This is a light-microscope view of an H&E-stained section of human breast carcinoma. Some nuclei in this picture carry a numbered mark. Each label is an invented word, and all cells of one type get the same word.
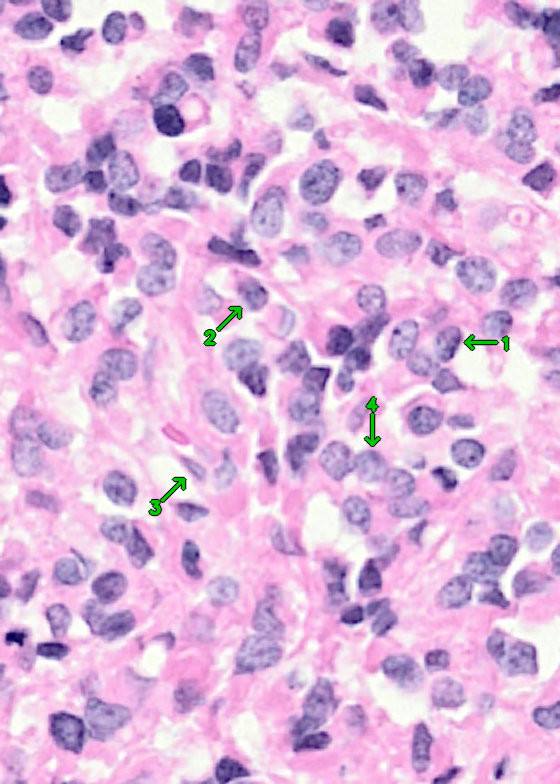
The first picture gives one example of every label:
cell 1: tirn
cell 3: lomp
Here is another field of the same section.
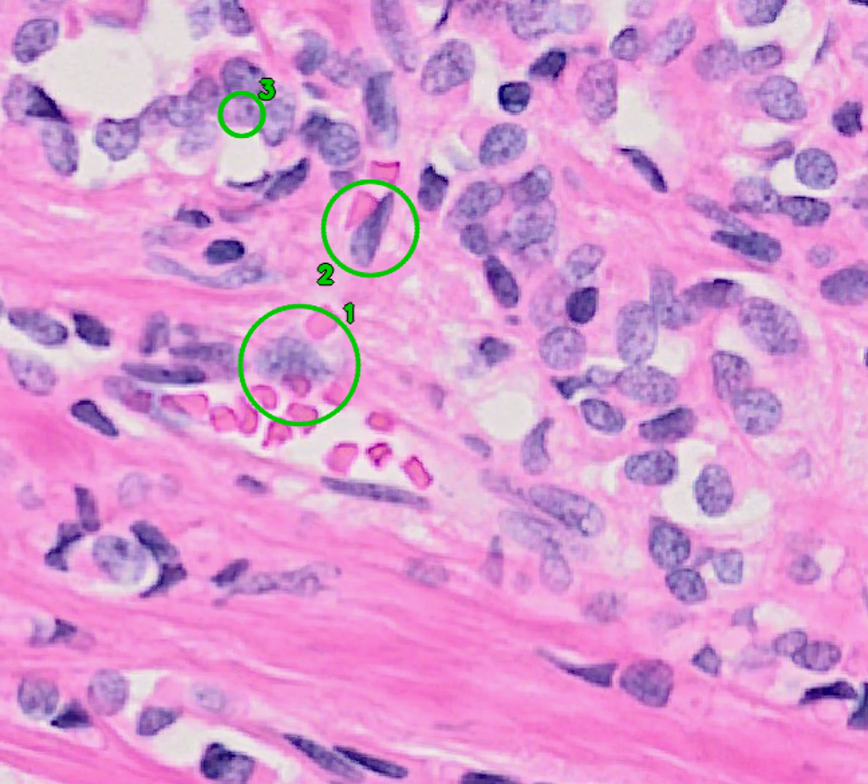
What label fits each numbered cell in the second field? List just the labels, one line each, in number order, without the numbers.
lomp
lomp
tirn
